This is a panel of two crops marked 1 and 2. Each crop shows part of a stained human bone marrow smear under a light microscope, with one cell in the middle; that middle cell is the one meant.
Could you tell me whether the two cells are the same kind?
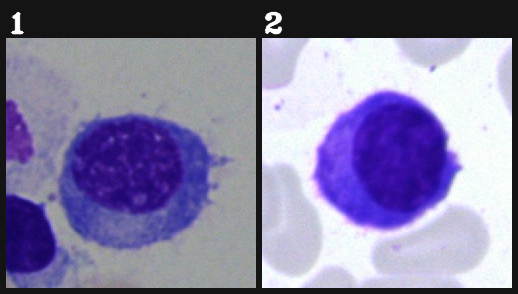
yes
